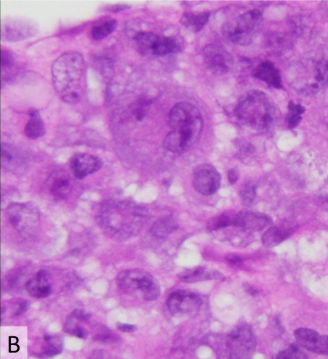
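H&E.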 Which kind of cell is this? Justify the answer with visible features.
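Hallmark cells. The large cells have pink cytoplasm around the nucleus.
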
